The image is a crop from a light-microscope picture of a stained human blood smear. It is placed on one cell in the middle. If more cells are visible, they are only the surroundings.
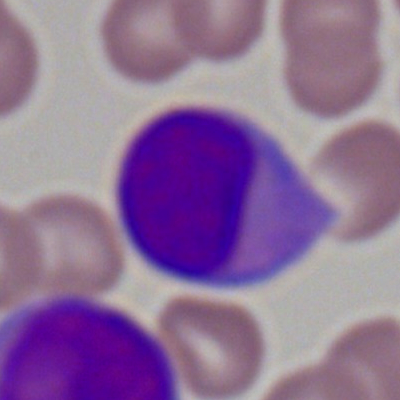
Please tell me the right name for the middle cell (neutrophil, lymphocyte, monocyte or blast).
blast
